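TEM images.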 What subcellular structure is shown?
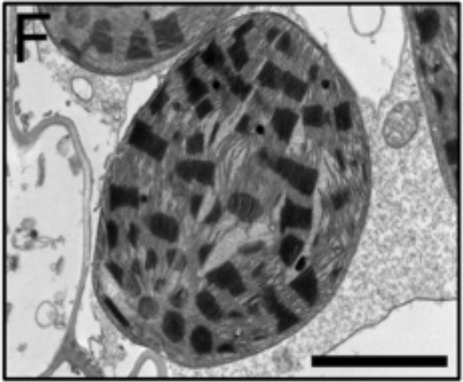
Chloroplasts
